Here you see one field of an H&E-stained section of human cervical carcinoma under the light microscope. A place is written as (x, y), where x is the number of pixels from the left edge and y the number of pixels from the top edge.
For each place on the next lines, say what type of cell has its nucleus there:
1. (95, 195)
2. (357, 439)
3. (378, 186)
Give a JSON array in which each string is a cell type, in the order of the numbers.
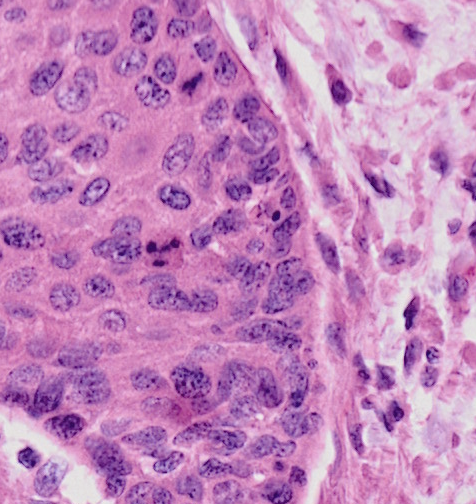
["squamous carcinoma cell", "fibroblast", "fibroblast"]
